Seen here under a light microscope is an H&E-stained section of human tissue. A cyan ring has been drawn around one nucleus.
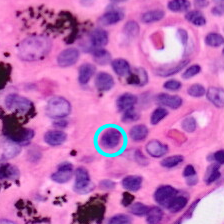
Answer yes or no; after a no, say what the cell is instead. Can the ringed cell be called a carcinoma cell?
No, it is a lymphocyte.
